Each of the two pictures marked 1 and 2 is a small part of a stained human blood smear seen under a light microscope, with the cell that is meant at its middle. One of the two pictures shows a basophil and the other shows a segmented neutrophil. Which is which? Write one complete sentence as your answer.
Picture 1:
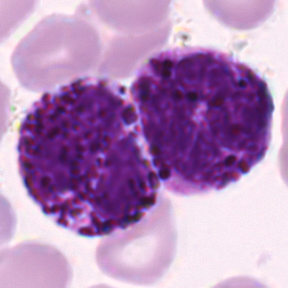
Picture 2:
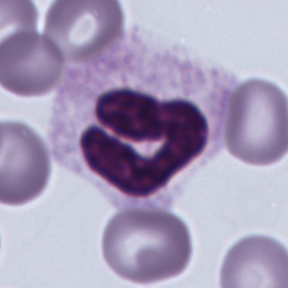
The cell in picture 1 is a basophil, and the one in picture 2 is a segmented neutrophil.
